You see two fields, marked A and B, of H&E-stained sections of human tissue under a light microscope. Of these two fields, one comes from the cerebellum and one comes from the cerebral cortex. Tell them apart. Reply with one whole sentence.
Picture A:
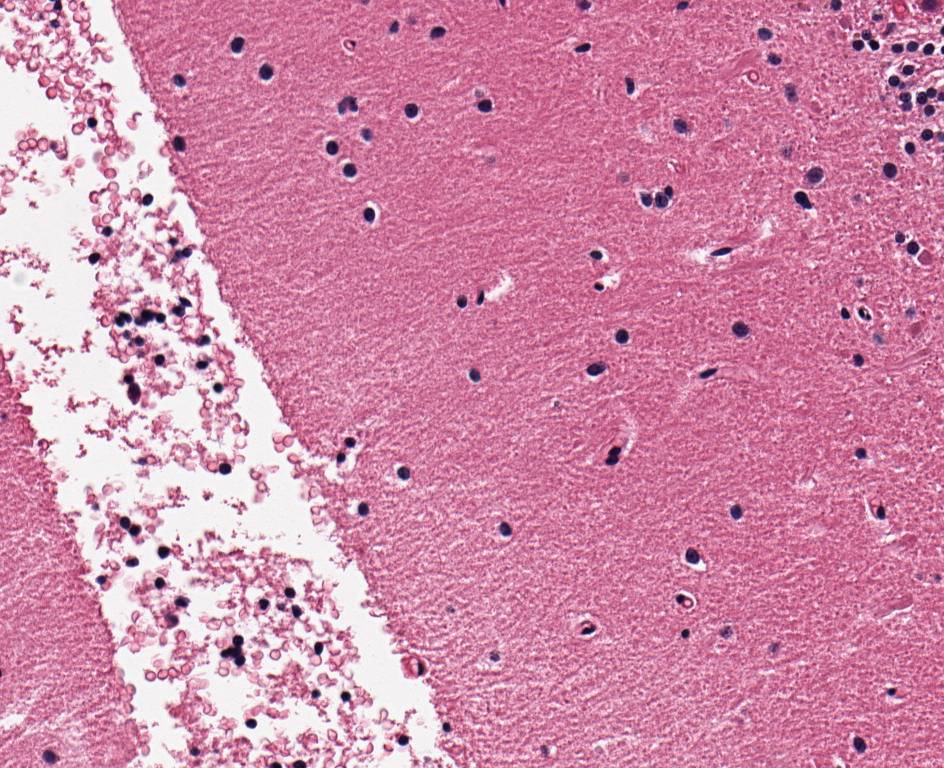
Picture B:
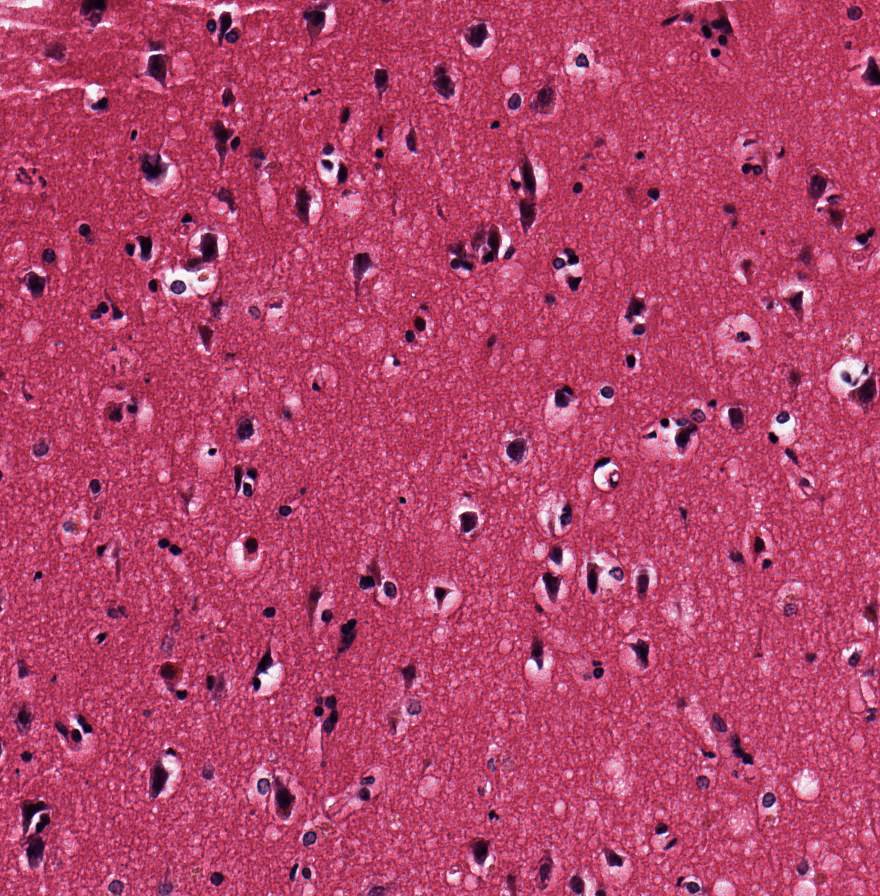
Picture A comes from the cerebellum and picture B comes from the cerebral cortex.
